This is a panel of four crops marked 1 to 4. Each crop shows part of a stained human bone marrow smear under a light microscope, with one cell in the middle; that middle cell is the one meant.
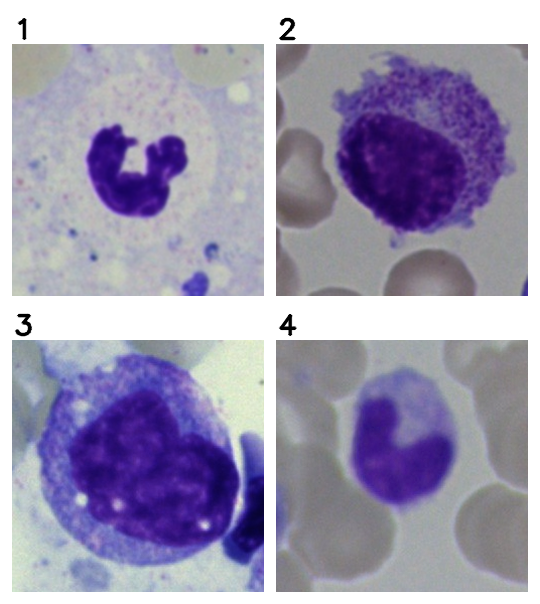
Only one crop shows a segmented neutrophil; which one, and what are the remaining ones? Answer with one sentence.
Crop 1 is read as a segmented neutrophil, while crop 2 is a myelocyte, crop 3 is a monocyte and crop 4 is a band neutrophil.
